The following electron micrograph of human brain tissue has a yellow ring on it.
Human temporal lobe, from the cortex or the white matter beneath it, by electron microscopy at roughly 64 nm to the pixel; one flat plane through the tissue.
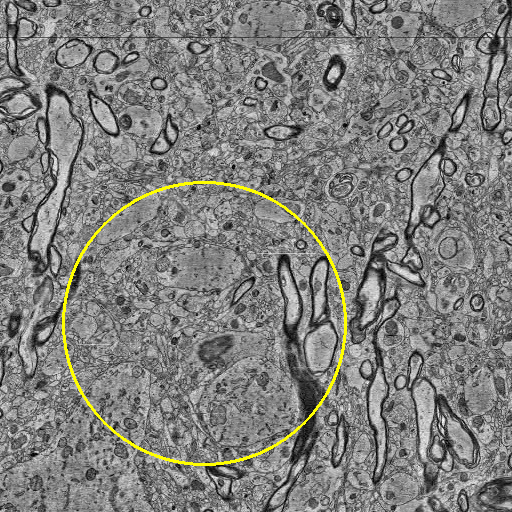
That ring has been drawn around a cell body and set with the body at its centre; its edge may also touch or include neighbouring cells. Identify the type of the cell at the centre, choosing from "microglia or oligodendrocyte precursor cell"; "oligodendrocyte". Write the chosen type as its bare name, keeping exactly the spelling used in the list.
oligodendrocyte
